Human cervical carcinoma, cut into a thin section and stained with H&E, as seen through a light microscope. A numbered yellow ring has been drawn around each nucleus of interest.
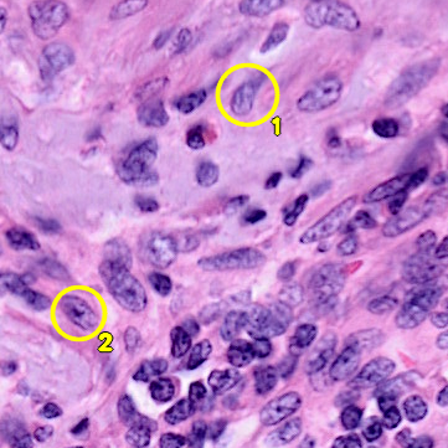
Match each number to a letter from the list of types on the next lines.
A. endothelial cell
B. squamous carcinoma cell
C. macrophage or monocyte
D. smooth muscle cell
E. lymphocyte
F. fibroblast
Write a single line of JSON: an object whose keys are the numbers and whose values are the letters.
{"1": "D", "2": "A"}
